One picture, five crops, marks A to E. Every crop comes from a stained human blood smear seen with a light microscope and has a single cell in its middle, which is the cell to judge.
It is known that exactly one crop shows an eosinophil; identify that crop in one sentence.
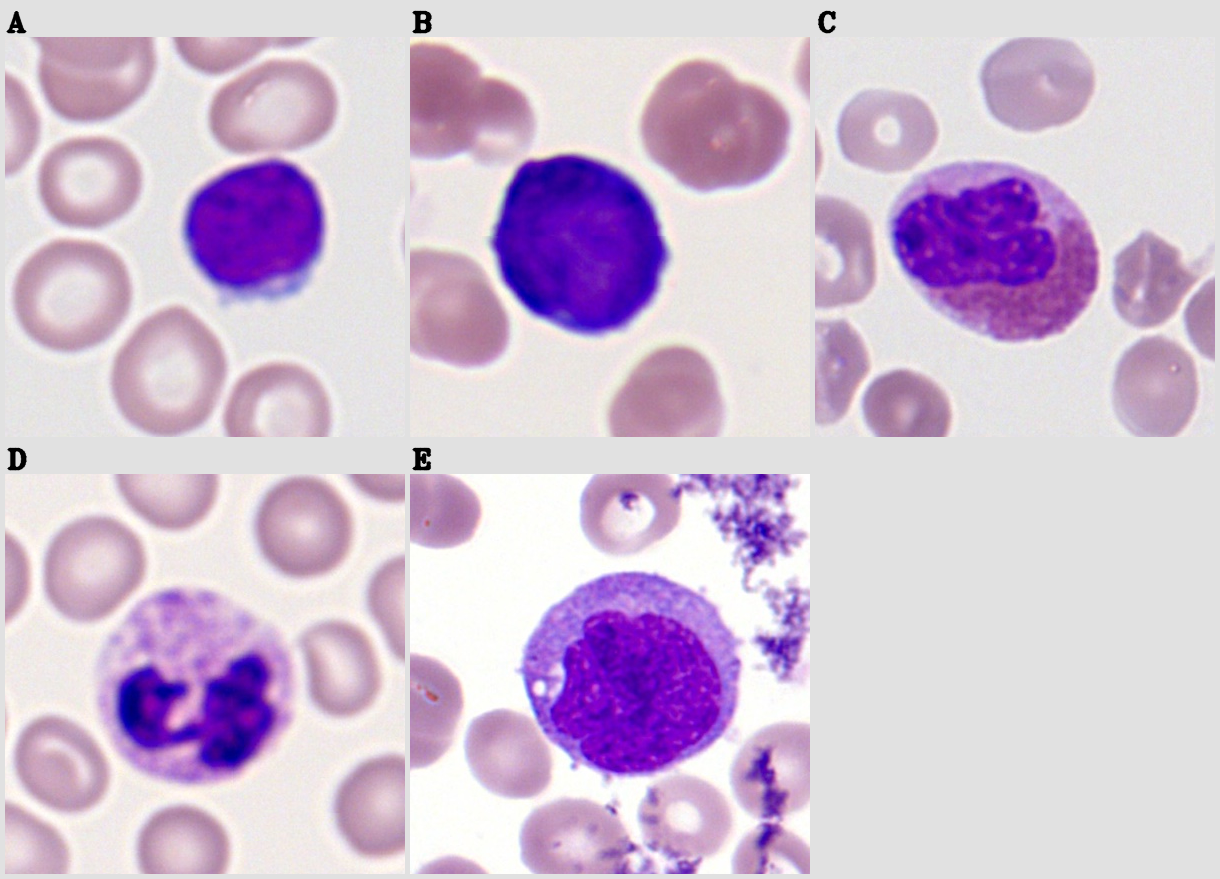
Crop C is the crop whose central cell is an eosinophil.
